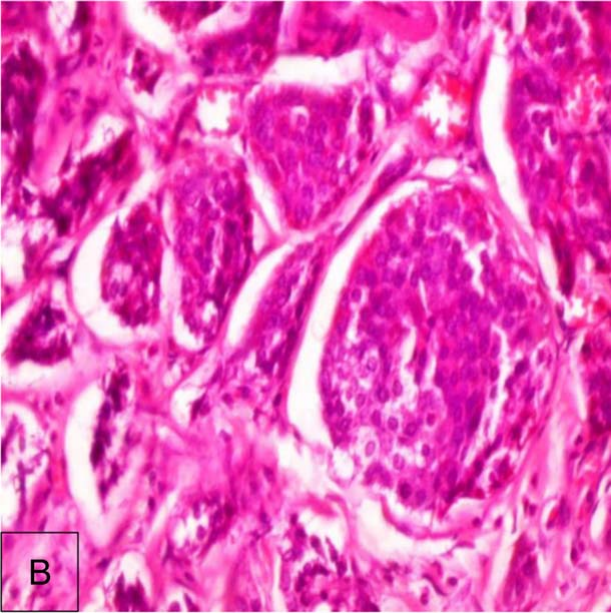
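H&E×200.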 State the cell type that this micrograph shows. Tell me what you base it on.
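Cells packed in rounded nests separated by clefts and pink stroma. Cells look alike, with round to oval nuclei and pink cytoplasm. The answer: polygonal-shaped tumor cells.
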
